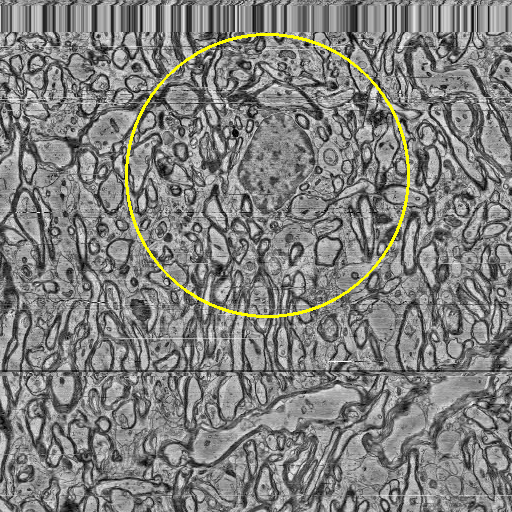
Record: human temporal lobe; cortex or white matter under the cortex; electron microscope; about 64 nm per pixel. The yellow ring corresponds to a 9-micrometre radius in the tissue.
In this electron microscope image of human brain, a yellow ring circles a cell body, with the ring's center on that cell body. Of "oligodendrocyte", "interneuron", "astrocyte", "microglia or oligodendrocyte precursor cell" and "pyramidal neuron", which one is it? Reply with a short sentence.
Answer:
It is a microglial cell or oligodendrocyte precursor cell at the center of the ring.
